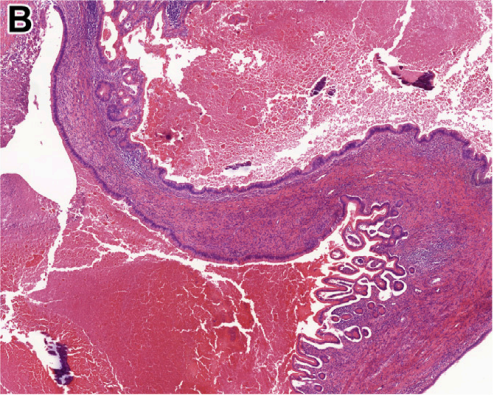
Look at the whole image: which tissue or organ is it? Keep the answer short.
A: intestinal-type epithelium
